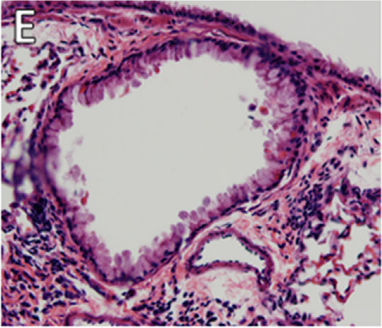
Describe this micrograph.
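A bronchiole is lined by tall columnar cells whose apical cytoplasm is pale and swollen, with nuclei lined up near the base. Some pale material lies loose in the lumen next to the lining. This mucus-laden lining is goblet cell metaplasia. The wall and the tissue around the airway and a neighbouring small vessel are crowded with small dark round nuclei, forming peribronchial infiltrates.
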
